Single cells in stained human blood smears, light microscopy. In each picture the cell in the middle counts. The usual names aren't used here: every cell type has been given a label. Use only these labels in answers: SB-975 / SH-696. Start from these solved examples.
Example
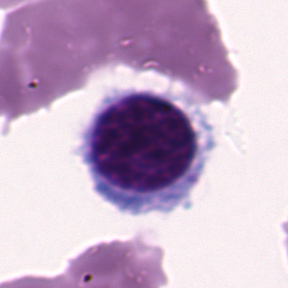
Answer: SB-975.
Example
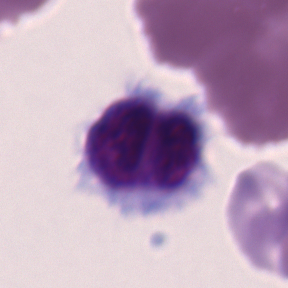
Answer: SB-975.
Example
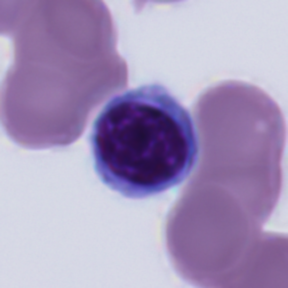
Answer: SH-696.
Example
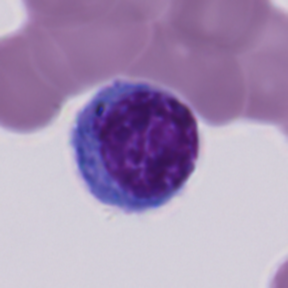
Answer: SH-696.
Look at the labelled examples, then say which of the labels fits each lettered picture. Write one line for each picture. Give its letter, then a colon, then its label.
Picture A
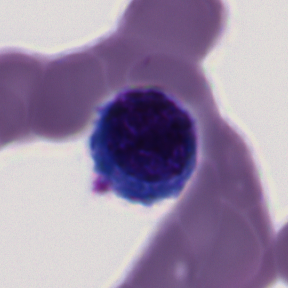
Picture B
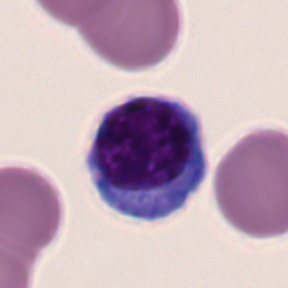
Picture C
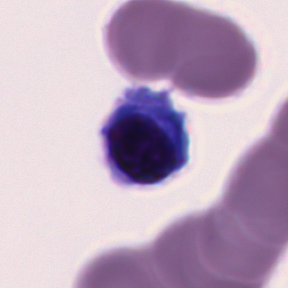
A: SH-696.
B: SH-696.
C: SH-696.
